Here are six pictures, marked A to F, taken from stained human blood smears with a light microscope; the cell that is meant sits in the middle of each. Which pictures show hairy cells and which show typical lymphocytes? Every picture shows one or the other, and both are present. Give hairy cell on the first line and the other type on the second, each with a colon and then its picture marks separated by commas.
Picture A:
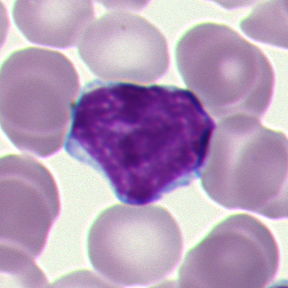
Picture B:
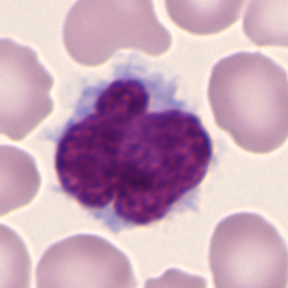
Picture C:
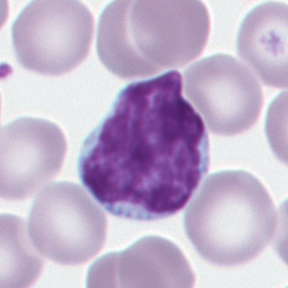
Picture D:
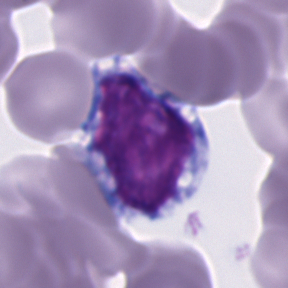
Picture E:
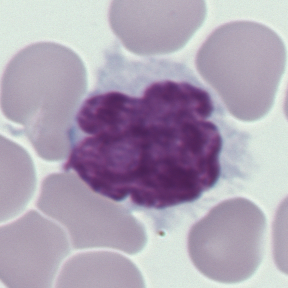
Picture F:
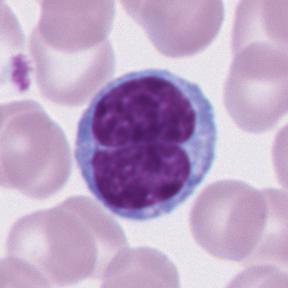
hairy cell: B, E
typical lymphocyte: A, C, D, F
